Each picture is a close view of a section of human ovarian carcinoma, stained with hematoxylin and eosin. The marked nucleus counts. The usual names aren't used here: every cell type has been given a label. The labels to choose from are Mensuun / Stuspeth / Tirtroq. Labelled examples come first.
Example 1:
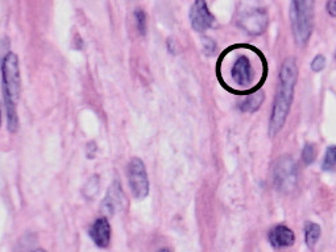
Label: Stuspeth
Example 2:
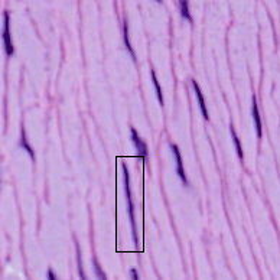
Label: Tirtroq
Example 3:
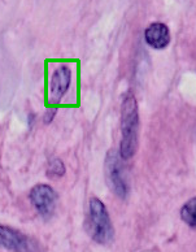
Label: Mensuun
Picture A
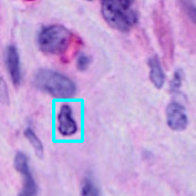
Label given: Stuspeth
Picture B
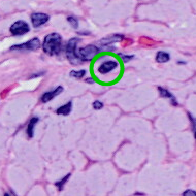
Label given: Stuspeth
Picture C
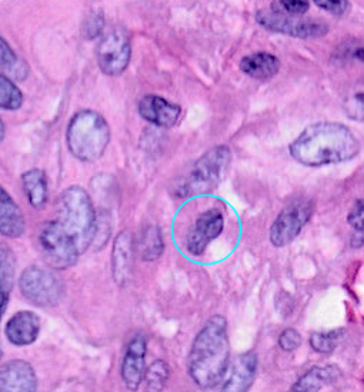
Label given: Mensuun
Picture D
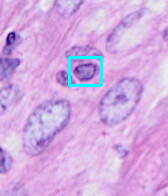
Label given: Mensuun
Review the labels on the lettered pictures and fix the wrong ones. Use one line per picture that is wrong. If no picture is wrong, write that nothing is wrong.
All correct.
